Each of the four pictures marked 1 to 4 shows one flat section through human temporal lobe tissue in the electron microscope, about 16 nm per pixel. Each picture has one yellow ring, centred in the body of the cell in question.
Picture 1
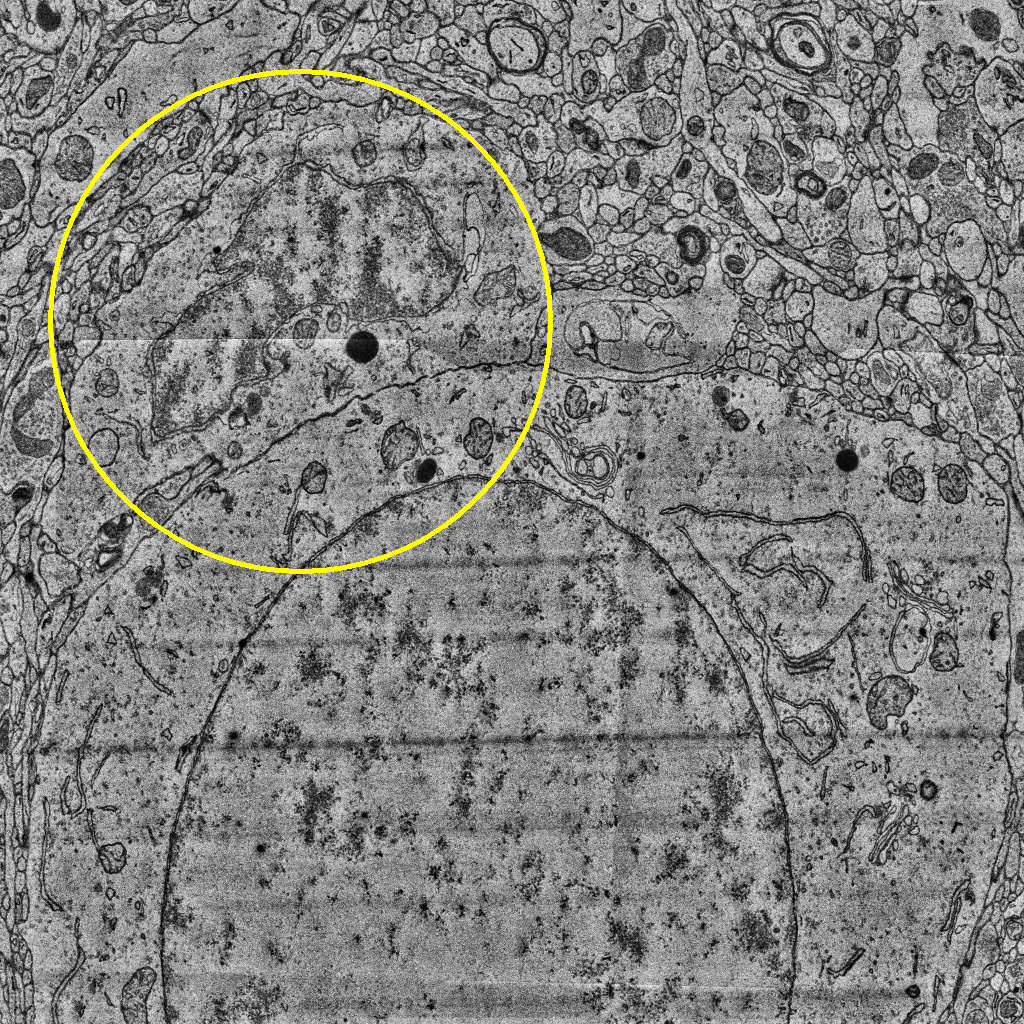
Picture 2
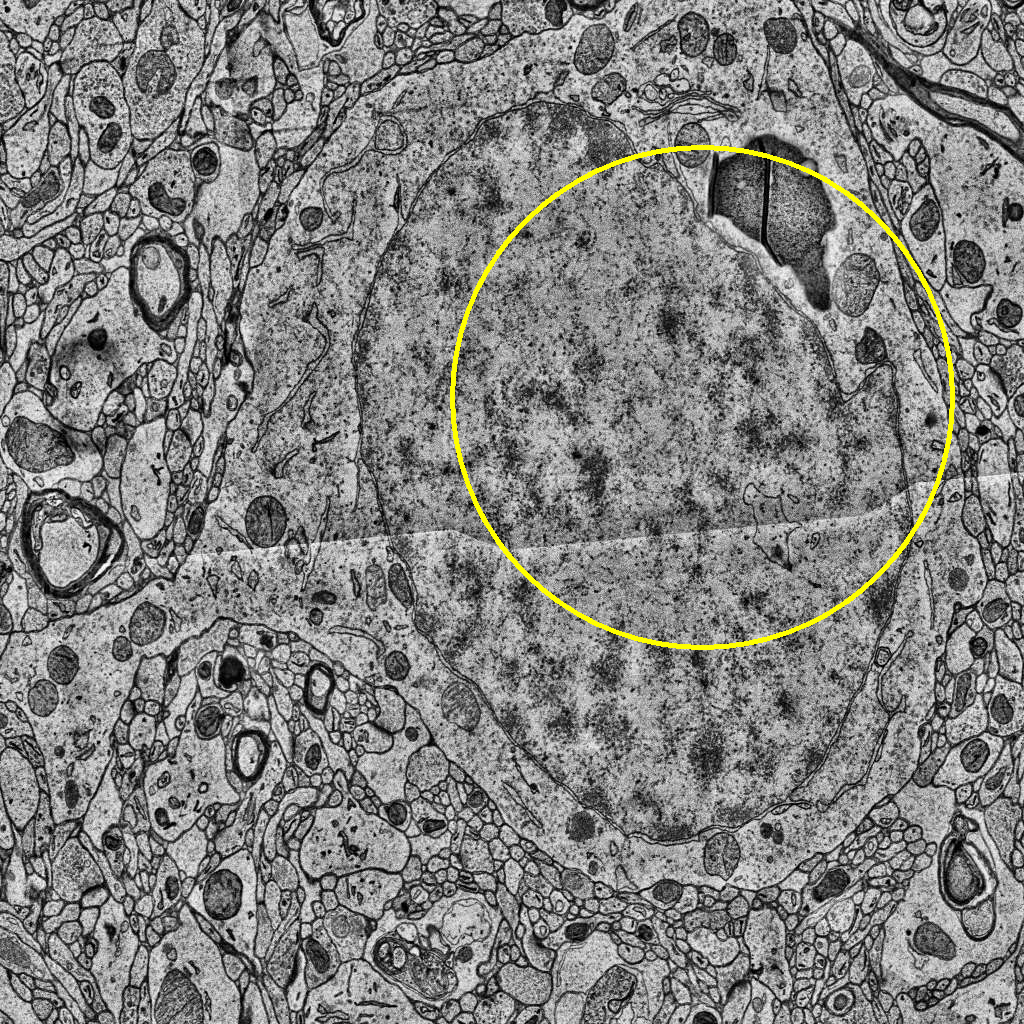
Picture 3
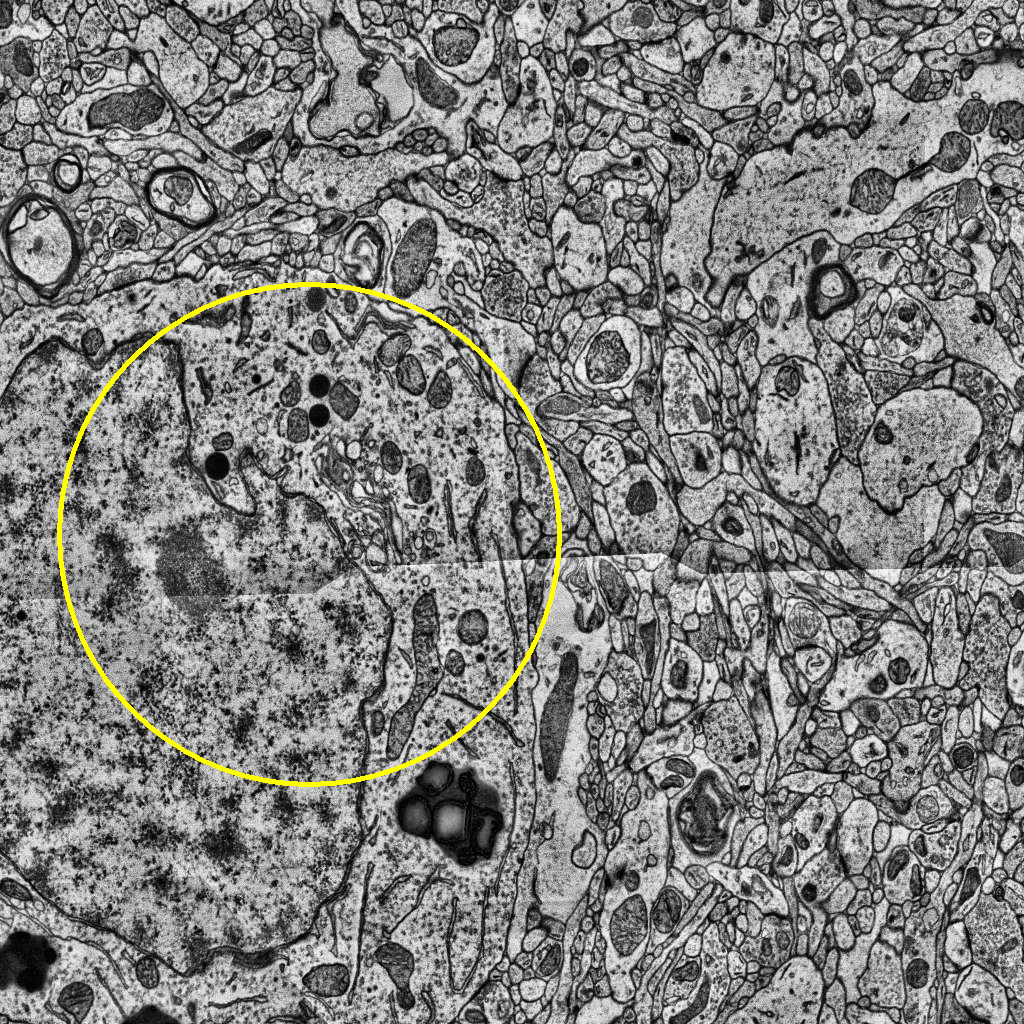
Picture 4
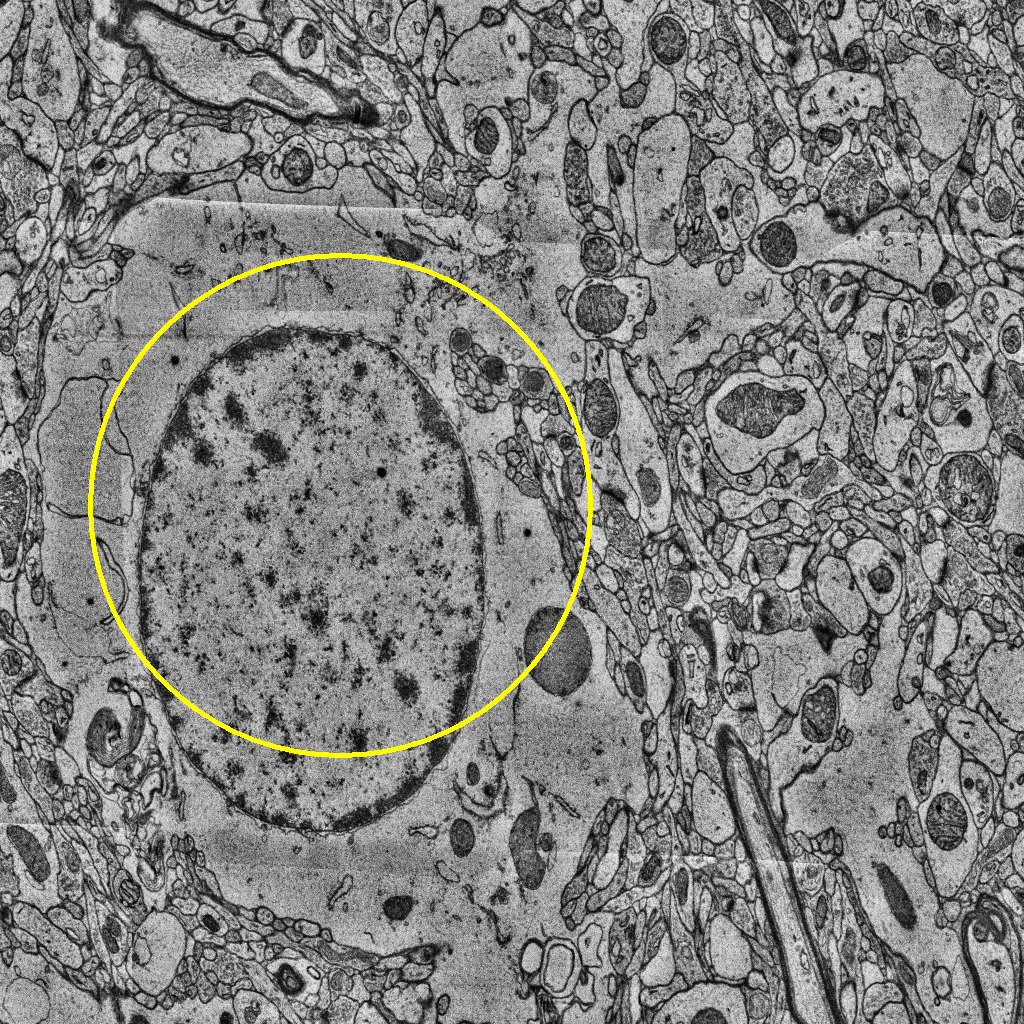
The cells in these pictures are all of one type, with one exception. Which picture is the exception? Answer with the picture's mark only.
4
